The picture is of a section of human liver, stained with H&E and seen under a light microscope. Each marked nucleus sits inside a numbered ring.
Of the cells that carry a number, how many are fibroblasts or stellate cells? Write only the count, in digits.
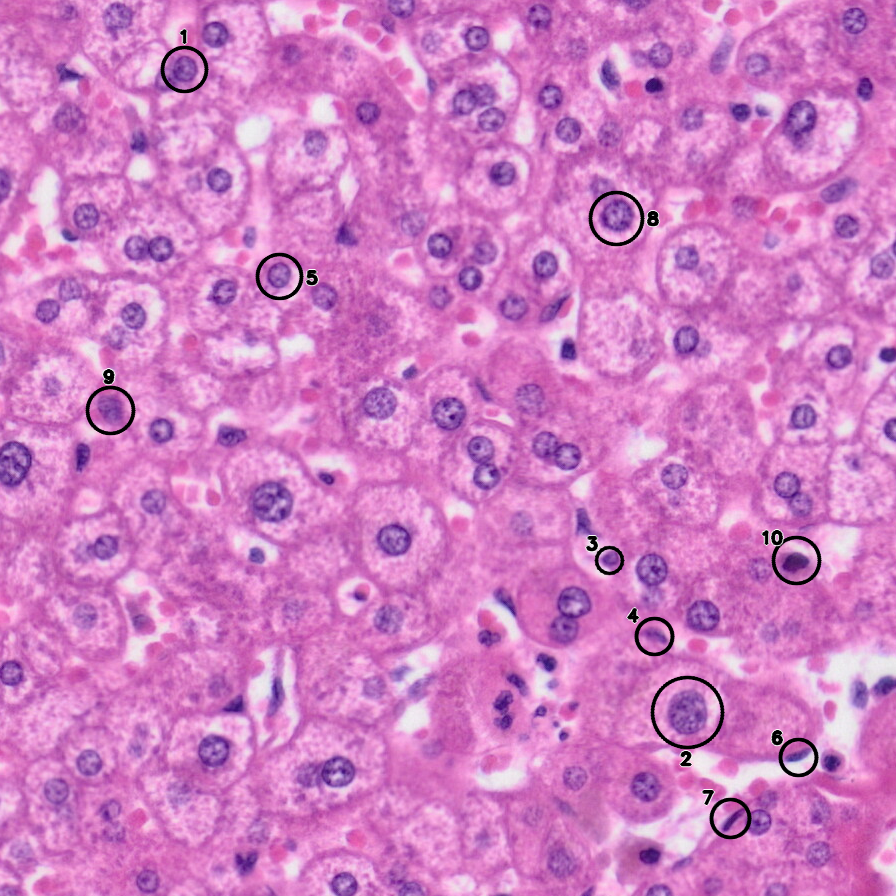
1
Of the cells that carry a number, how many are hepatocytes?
4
